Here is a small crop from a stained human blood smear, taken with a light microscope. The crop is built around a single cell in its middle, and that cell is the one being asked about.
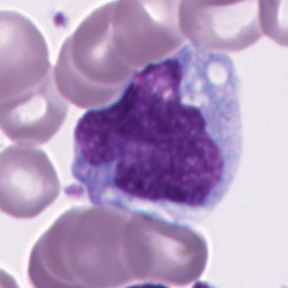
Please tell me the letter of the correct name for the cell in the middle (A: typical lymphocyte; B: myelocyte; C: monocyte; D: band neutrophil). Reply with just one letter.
C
